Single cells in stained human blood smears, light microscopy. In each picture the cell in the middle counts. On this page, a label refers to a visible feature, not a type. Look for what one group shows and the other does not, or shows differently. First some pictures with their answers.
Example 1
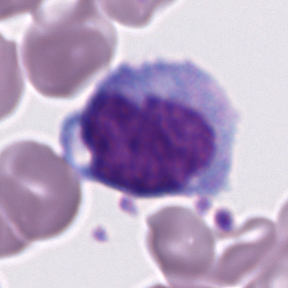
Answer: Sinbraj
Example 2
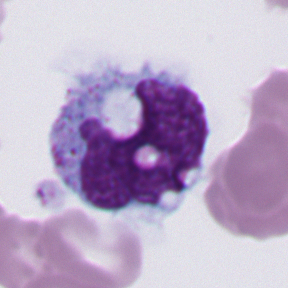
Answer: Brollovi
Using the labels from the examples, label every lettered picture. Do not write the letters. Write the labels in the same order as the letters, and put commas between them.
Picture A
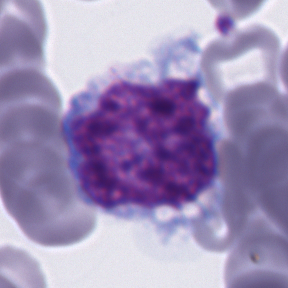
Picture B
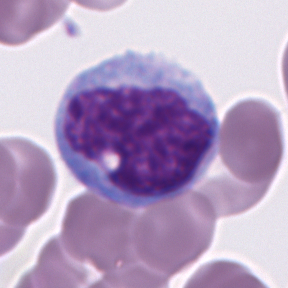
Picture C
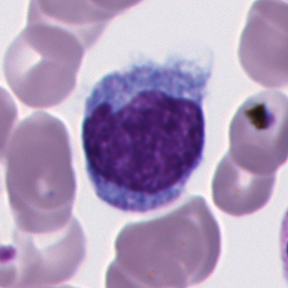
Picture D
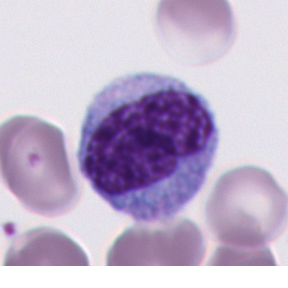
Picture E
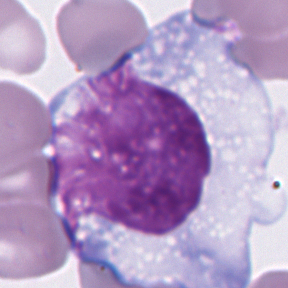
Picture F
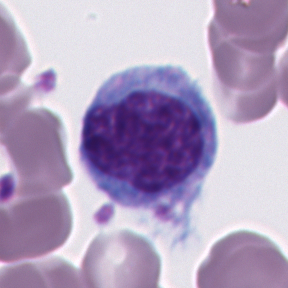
Sinbraj, Sinbraj, Sinbraj, Sinbraj, Sinbraj, Sinbraj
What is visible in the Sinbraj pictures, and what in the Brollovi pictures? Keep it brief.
Sinbraj, round or oval nucleus; Brollovi, band-shaped nucleus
